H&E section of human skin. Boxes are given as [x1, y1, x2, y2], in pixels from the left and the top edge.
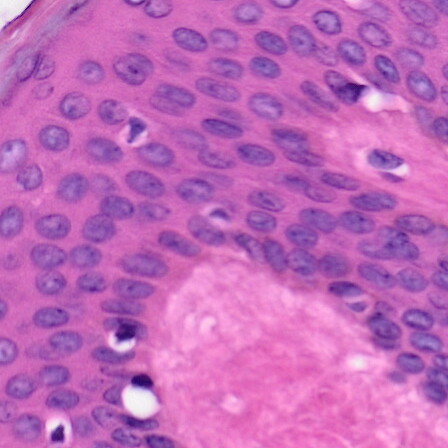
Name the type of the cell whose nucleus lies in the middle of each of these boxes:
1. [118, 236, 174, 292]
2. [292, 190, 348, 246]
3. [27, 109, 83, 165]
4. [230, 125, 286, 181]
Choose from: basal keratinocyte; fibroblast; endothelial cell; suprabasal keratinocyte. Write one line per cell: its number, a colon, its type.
1: basal keratinocyte
2: suprabasal keratinocyte
3: suprabasal keratinocyte
4: suprabasal keratinocyte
